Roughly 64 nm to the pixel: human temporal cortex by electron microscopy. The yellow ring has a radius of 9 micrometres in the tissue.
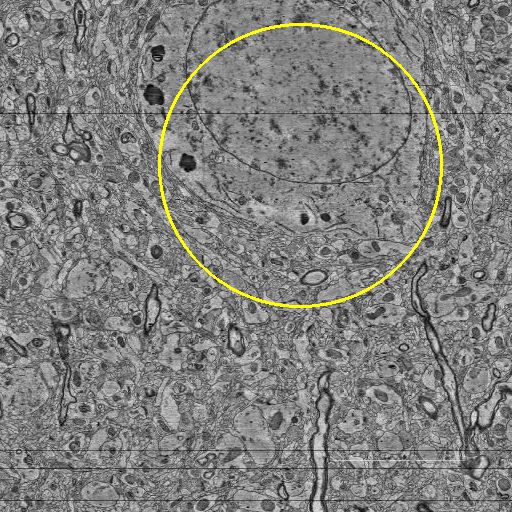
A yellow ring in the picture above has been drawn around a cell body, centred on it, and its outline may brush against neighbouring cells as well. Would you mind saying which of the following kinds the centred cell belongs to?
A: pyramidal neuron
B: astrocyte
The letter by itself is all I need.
A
